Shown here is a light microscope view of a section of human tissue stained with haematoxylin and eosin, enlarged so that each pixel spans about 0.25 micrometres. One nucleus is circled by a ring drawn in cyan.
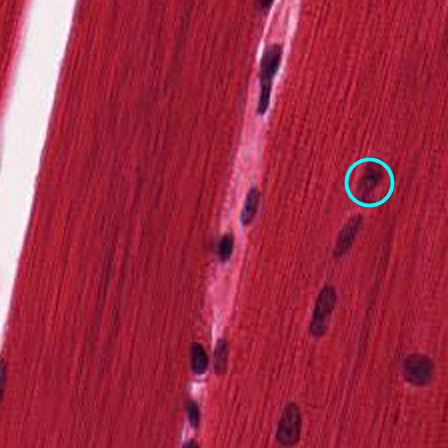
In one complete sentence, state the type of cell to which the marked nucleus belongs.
It is a skeletal muscle fibre that the marked nucleus belongs to.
